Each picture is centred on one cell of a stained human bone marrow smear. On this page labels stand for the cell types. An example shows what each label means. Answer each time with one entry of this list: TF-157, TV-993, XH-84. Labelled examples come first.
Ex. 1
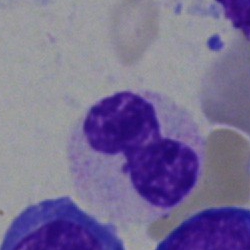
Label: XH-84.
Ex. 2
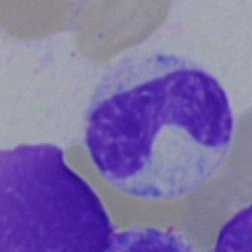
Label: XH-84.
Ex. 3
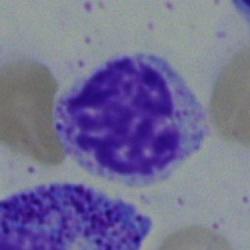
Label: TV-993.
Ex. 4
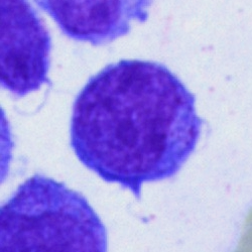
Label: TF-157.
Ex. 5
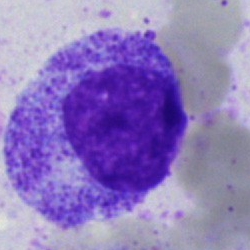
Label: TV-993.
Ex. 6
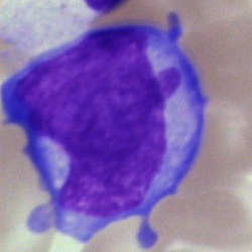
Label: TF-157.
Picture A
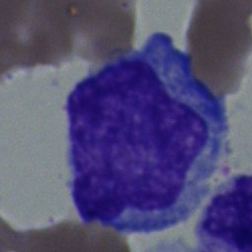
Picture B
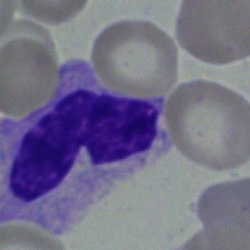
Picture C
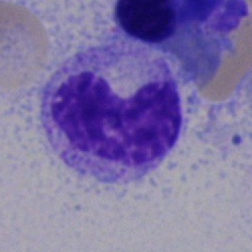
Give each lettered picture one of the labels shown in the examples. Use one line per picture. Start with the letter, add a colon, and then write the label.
A: TF-157.
B: XH-84.
C: XH-84.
